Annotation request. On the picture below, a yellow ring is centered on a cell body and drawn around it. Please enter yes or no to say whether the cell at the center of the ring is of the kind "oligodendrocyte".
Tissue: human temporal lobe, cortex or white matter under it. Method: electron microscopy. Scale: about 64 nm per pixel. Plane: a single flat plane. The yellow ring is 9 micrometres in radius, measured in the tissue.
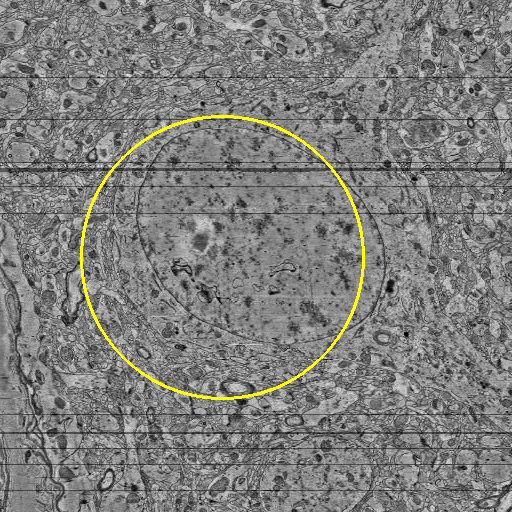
no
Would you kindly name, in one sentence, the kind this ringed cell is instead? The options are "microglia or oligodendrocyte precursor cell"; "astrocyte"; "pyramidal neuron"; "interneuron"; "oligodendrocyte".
Instead, the ring in this picture marks a pyramidal neuron.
